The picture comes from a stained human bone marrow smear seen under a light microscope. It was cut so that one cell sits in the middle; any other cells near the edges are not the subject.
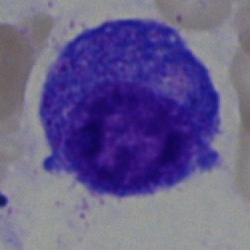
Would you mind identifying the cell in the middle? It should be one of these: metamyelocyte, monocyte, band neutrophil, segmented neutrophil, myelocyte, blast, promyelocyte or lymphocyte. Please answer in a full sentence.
The crop's centre is taken up by a promyelocyte.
